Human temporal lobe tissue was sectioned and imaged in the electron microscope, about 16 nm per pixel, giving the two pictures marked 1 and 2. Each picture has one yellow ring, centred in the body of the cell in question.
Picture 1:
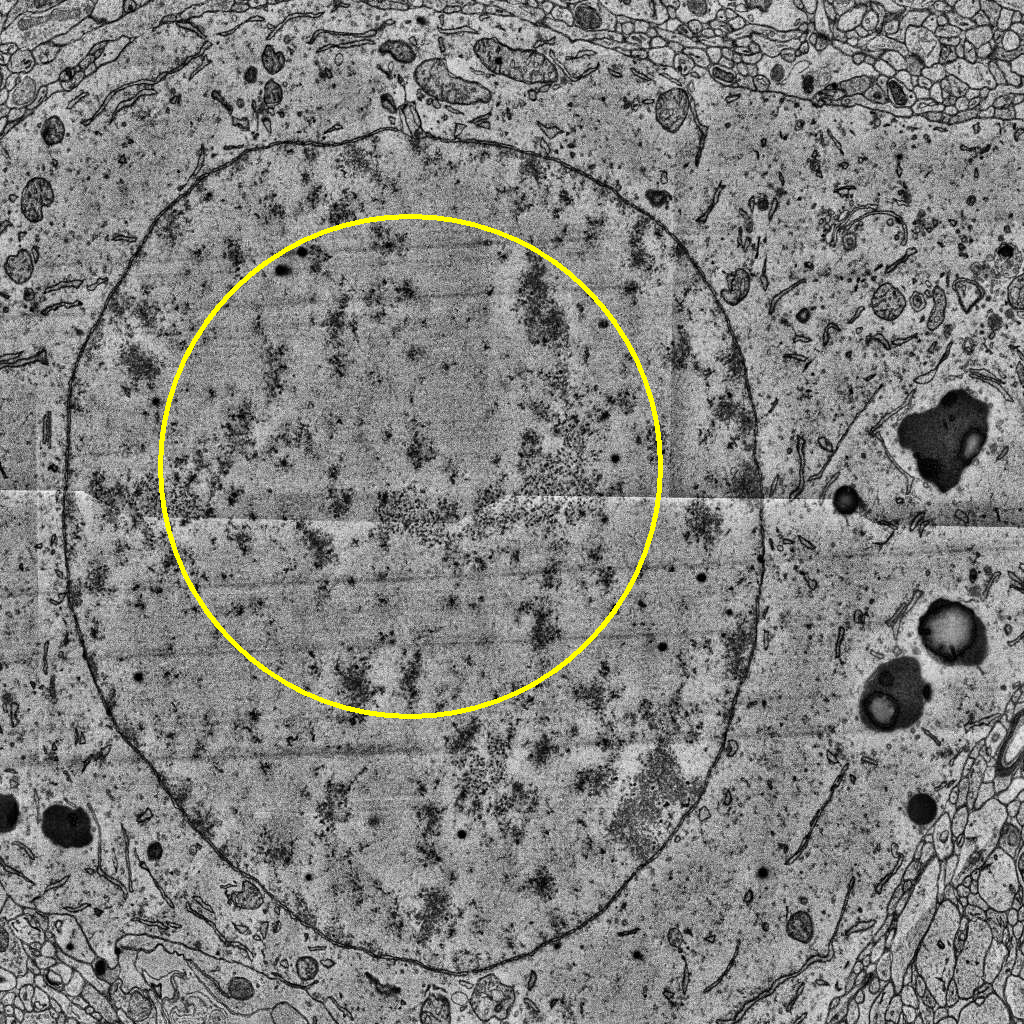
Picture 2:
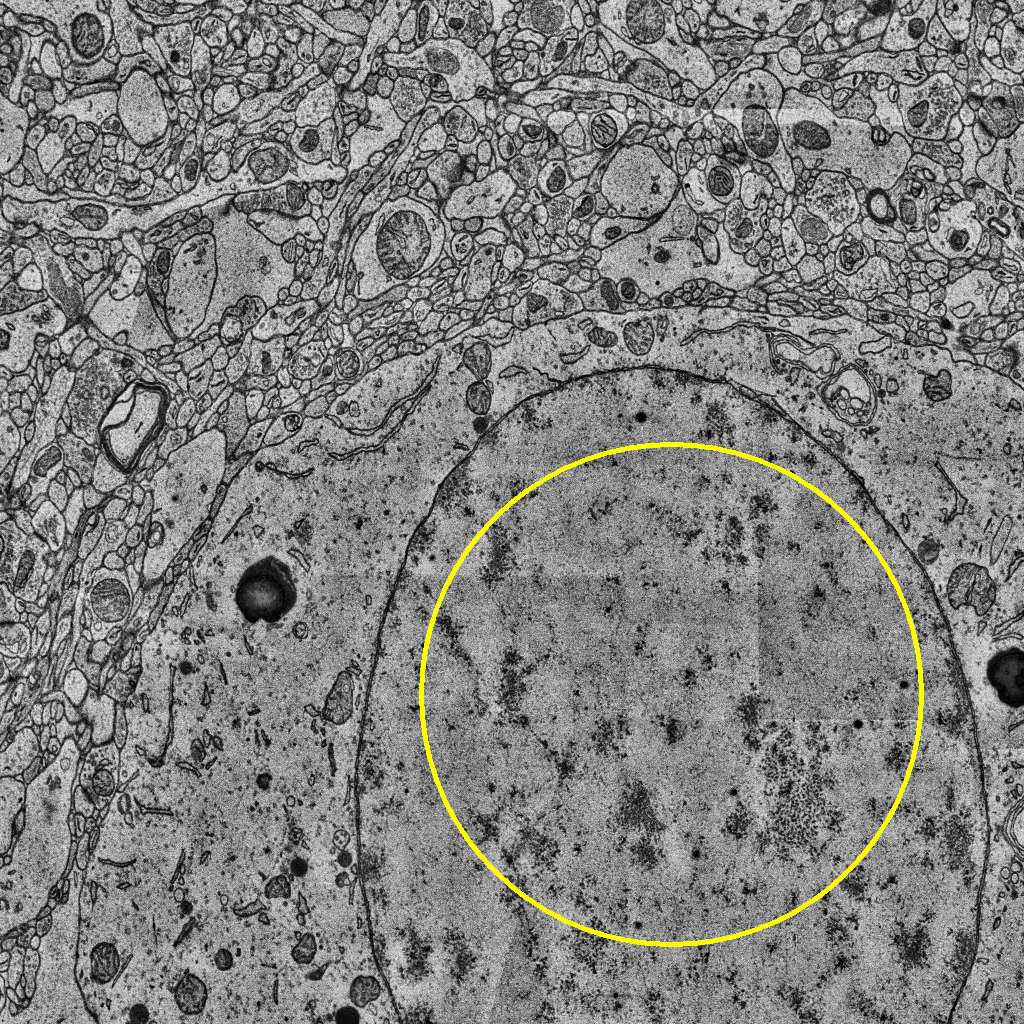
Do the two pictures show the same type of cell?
Yes, both cells are pyramidal neurons.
